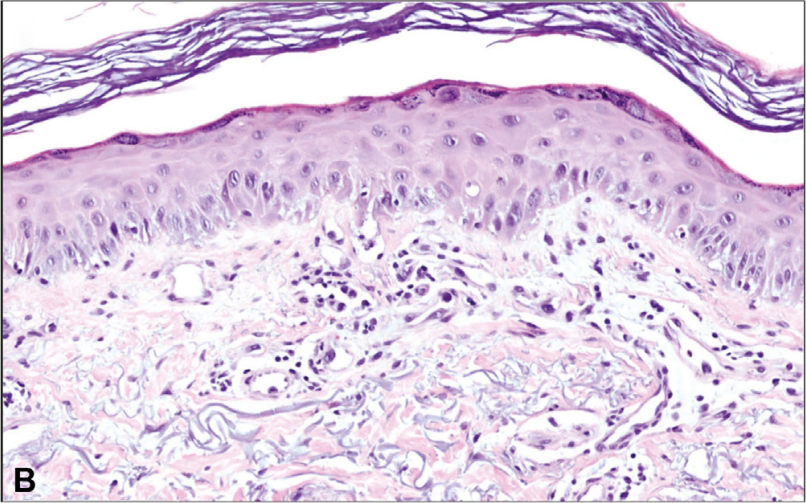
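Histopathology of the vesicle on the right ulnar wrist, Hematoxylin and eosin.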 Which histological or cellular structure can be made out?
Basket-weave orthokeratosis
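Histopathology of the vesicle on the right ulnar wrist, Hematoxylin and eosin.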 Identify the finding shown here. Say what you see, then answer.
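Interface dermatitis with basal vacuolization. Small clear vacuoles lie along the basal layer of the epidermis. Inflammatory cells sit in the upper dermis just beneath the epidermal junction.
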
